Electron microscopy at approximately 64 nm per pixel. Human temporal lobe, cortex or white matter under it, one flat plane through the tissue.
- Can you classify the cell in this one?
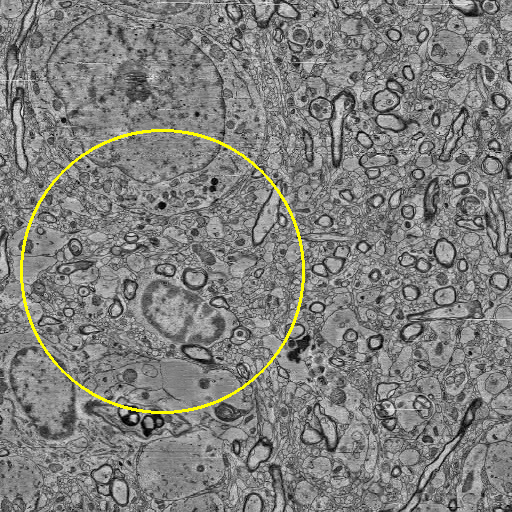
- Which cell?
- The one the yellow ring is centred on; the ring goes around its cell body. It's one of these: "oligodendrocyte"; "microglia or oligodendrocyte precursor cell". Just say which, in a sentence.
The cell body in the ring belongs to an oligodendrocyte.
